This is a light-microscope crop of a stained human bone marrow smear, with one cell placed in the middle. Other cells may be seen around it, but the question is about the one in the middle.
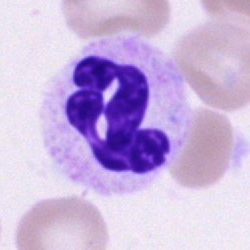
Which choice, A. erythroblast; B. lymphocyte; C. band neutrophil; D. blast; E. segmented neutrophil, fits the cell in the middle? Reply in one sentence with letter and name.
Well, the cell in the middle is a segmented neutrophil, making option E right.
